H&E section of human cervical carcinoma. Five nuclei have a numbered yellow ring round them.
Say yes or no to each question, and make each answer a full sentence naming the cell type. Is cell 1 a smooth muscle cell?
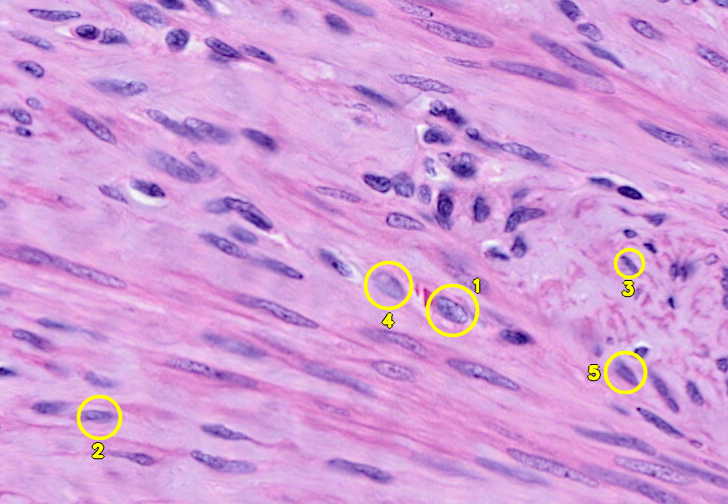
No, number 1 belongs to an endothelial cell, not to a smooth muscle cell.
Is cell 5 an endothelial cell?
No, cell 5 is to be read as a smooth muscle cell, not an endothelial cell.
